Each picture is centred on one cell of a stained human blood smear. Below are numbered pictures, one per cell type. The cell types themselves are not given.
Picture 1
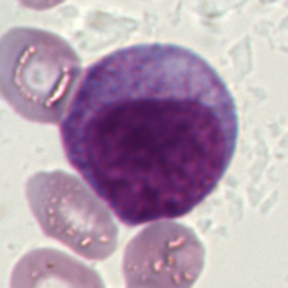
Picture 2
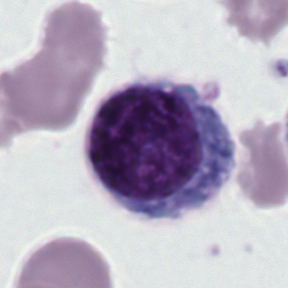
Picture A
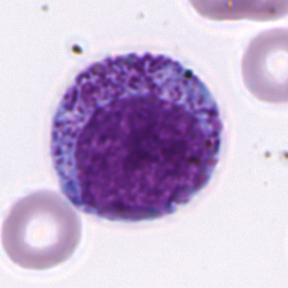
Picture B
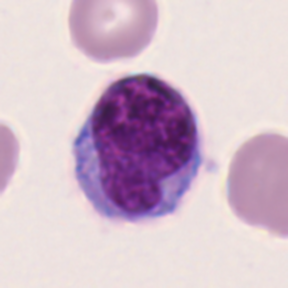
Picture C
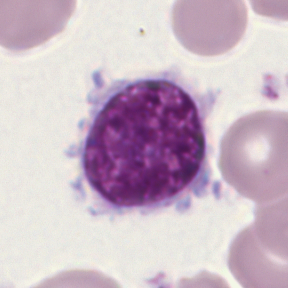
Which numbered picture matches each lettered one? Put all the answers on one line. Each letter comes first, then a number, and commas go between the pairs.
A 1, B 2, C 2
